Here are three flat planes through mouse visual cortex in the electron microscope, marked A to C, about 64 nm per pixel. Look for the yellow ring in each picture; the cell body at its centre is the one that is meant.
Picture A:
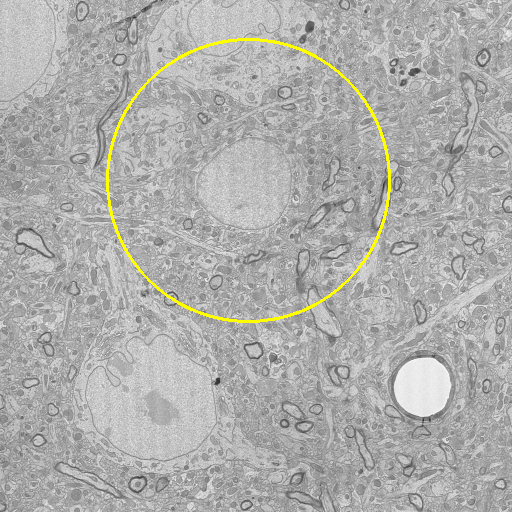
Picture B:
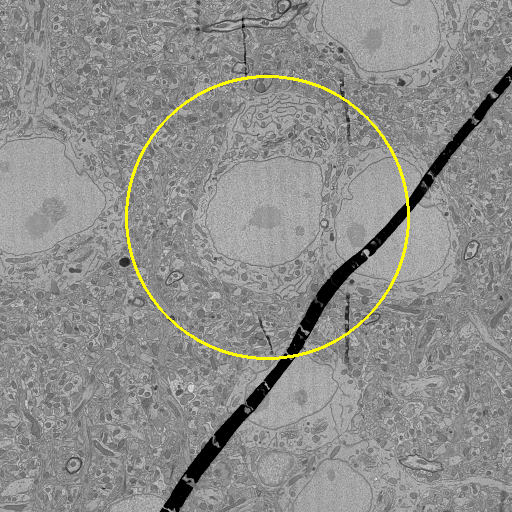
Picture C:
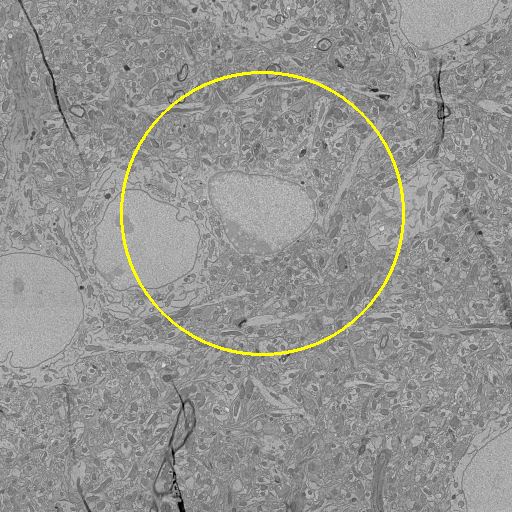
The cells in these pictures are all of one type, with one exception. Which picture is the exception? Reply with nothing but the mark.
B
